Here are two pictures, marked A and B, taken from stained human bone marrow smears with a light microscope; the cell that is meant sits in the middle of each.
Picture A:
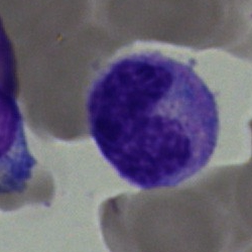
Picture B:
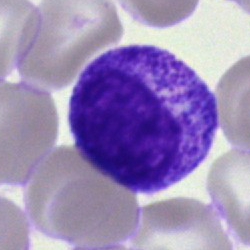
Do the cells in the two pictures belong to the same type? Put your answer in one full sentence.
No, they differ: the cell is a monocyte in picture A and a myelocyte in picture B.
